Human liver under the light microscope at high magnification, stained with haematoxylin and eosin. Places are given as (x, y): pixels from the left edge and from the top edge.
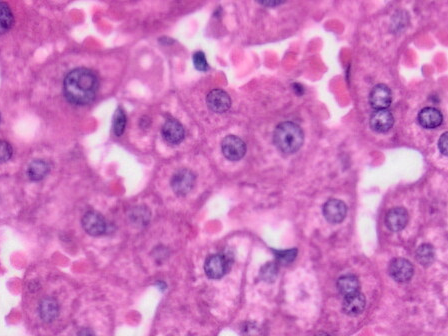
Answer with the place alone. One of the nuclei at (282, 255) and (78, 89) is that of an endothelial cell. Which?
(282, 255)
